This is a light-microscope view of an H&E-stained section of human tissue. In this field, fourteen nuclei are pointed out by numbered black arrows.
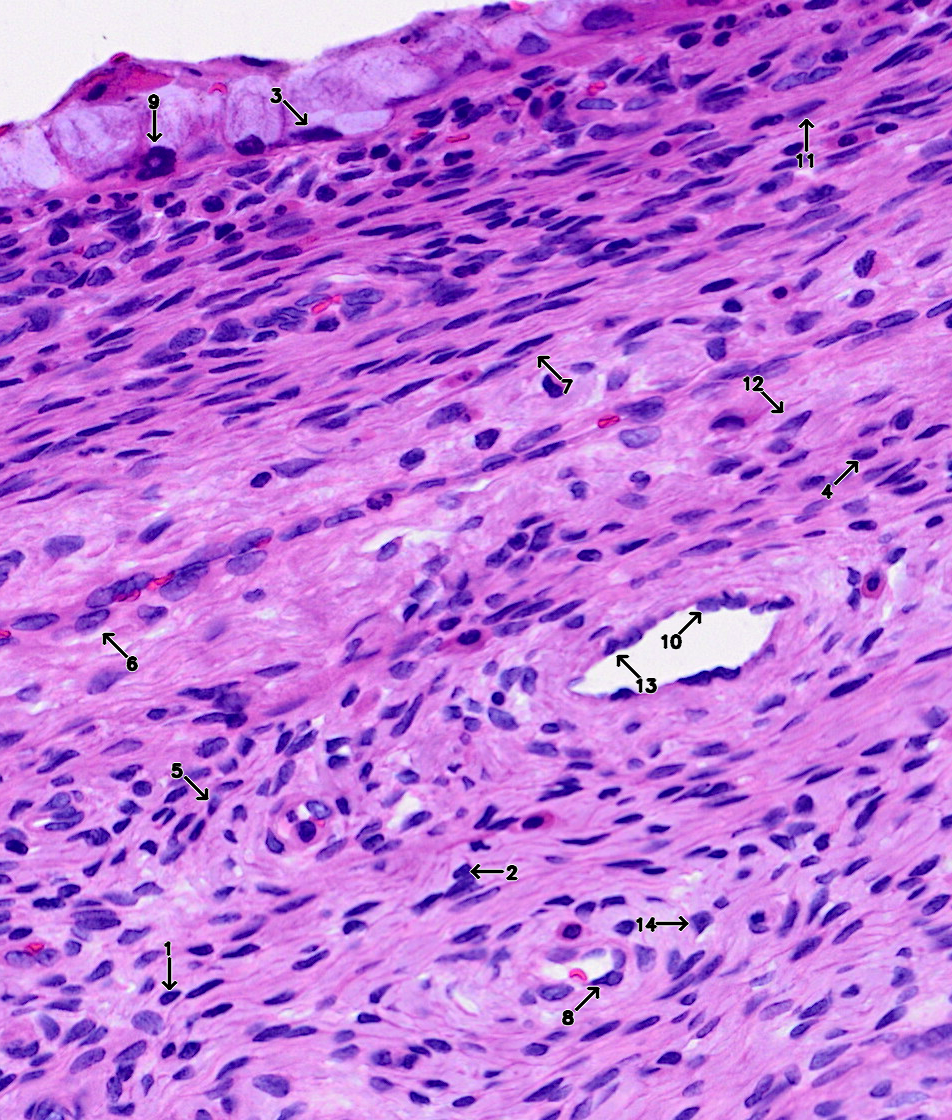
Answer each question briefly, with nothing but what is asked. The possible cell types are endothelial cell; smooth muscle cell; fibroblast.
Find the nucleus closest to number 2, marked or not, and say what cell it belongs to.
fibroblast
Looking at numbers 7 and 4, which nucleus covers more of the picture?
7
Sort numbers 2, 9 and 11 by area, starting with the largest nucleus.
9, 11, 2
